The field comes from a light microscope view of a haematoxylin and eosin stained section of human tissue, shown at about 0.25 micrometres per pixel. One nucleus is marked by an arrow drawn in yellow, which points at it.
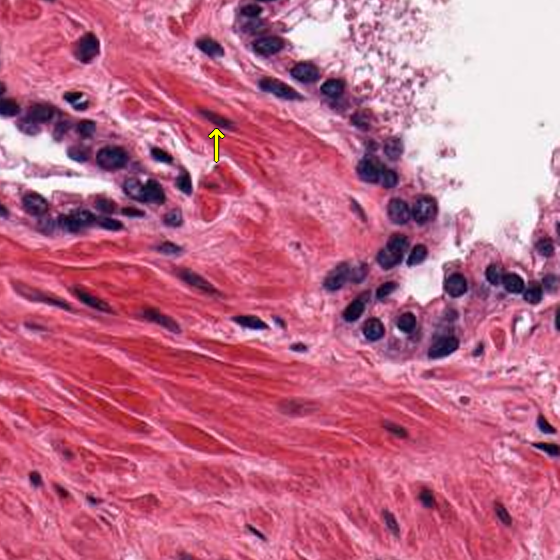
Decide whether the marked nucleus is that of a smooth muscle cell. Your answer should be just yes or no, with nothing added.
yes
